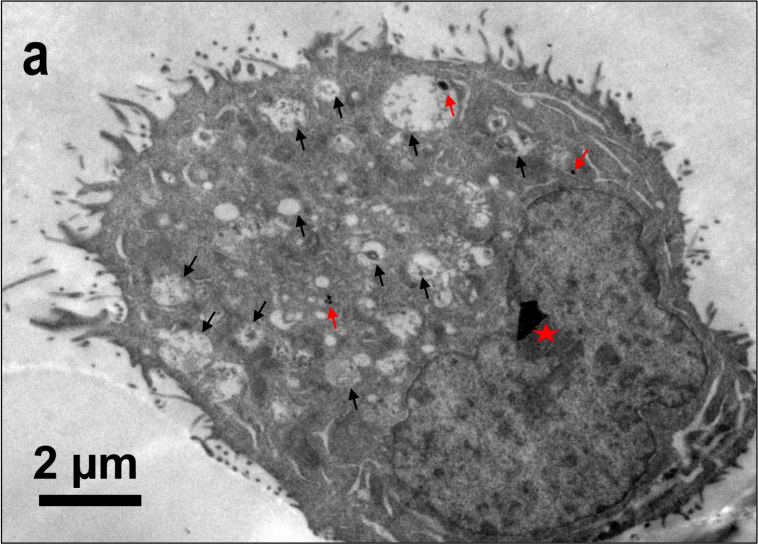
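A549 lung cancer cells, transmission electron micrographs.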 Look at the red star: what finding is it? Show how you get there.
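The star sits on a sharp-edged, uniformly black, angular patch over the nucleus. The patch has no internal structure and does not match any cell component around it.
Conclusion: an artifact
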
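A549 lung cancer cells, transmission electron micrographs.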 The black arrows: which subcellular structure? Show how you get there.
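The black arrows point to round membrane-bound cytoplasmic compartments. These compartments are paler than the surrounding cytoplasm and hold flocculent or granular contents. They lie scattered through the cytoplasm outside the nucleus. That points to this answer: vacuoles.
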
